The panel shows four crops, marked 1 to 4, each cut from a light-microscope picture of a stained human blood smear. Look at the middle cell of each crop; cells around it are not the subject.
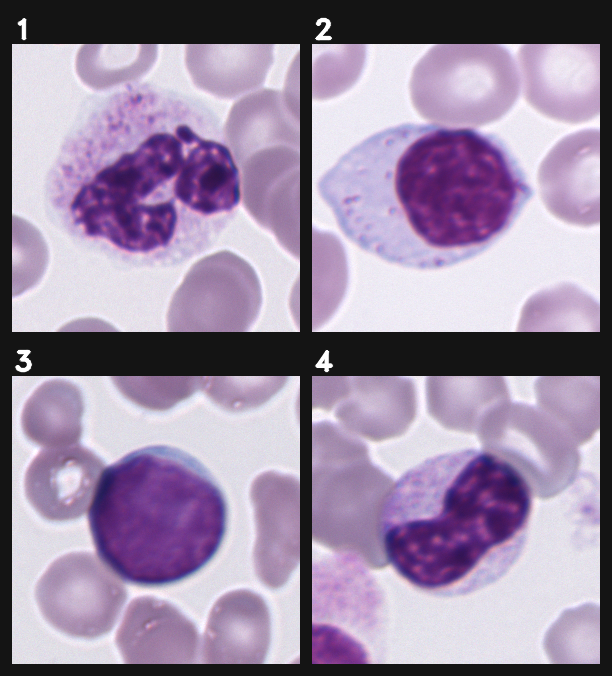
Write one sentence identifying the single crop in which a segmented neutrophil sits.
It is the cell in crop 1 that is a segmented neutrophil.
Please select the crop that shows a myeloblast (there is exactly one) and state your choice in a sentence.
Of the crops shown, crop 3 depicts a myeloblast.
